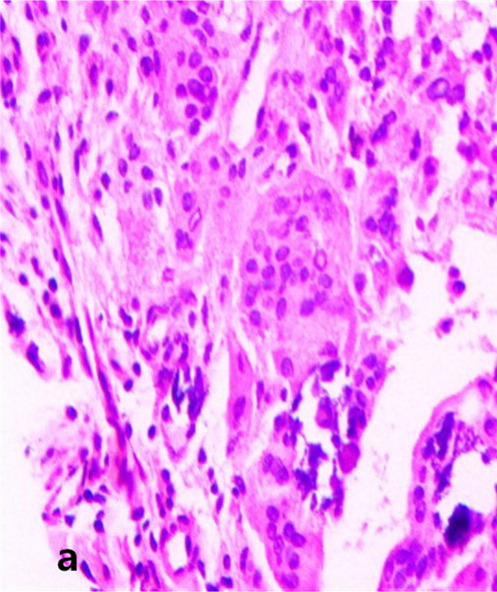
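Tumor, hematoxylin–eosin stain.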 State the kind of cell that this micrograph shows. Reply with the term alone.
Multinucleated giant cells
